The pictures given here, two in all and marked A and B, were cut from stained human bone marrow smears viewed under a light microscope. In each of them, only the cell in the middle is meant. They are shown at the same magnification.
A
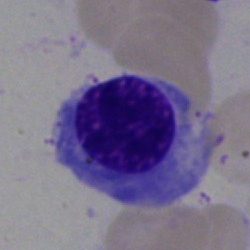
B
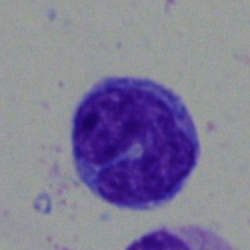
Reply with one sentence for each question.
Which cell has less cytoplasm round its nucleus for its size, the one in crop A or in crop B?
Of the two, the nucleus in crop B makes up the greater part of its cell.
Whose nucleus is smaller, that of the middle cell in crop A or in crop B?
The nucleus in crop A is smaller; the one in crop B has about 1.5 times its area.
